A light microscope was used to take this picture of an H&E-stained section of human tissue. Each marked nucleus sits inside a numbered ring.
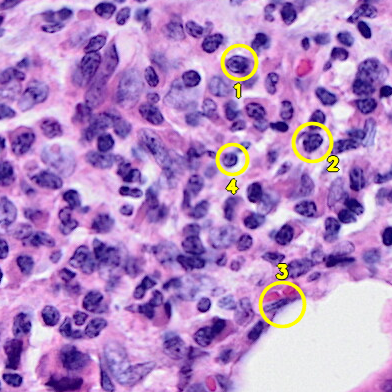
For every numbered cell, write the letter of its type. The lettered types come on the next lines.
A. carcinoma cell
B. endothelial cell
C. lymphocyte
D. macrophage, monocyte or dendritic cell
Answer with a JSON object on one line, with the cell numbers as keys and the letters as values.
{"1": "C", "2": "C", "3": "B", "4": "C"}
